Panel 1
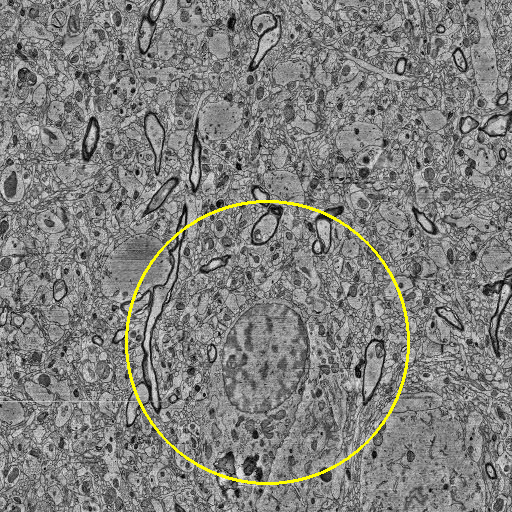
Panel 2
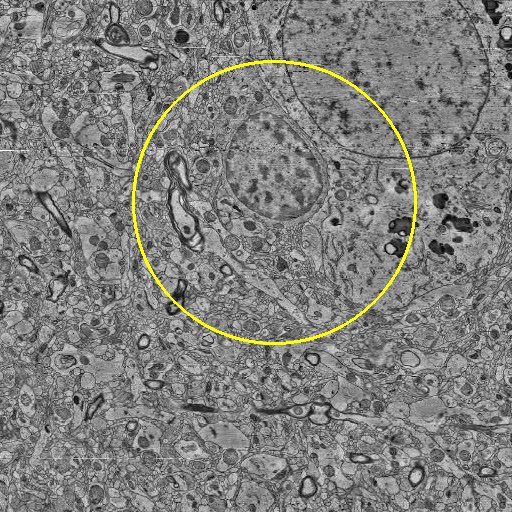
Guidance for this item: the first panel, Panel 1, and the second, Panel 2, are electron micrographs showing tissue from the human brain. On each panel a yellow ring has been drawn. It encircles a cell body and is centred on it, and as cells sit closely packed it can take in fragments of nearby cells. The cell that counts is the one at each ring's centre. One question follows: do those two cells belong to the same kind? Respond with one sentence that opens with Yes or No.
Yes, the cells at the ring centres in Panel 1 and Panel 2 are of one kind.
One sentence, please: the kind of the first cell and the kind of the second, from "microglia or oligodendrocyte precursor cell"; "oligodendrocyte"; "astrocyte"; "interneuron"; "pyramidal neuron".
Both the first and the second picture show an oligodendrocyte in the ring.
